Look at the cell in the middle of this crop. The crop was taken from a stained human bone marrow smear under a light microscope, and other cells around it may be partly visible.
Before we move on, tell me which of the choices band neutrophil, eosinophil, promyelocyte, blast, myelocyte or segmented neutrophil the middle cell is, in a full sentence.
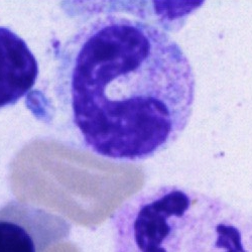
In the crop, the cell of interest at the centre is a band neutrophil.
